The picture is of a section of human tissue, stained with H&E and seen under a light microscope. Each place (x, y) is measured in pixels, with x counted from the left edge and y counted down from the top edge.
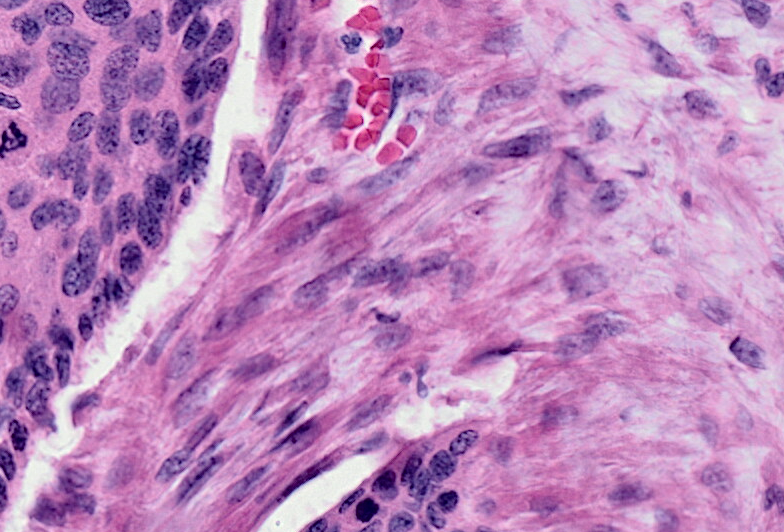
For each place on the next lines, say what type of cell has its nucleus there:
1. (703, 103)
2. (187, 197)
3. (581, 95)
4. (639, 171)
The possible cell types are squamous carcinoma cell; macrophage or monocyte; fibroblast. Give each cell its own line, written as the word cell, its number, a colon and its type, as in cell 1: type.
cell 1: fibroblast
cell 2: squamous carcinoma cell
cell 3: fibroblast
cell 4: fibroblast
